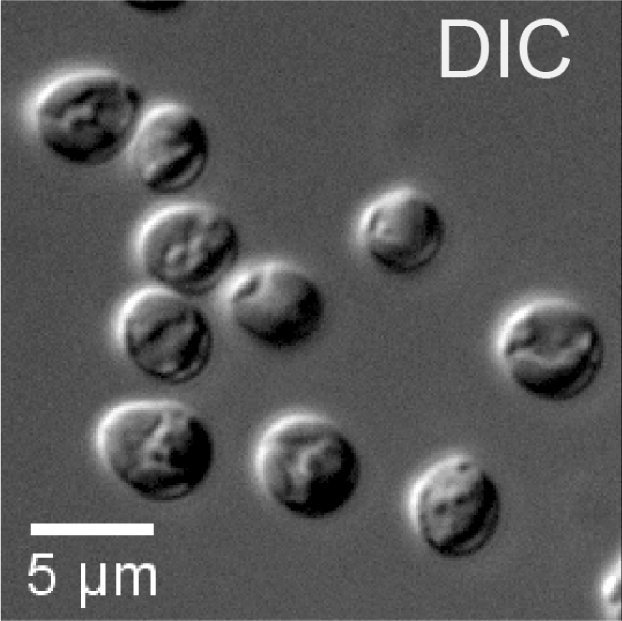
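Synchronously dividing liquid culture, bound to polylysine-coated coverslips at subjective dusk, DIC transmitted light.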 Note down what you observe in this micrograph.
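Single, nearly spherical cells lie scattered on the coverglass, each about four to five micrometres across. Each cell has a sharp rim and an uneven interior with ridges, furrows and small rounded bodies standing out in relief. Several cells show curved internal lines that appear to partition the interior. The cells lie apart or in loose groups without forming a continuous layer.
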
